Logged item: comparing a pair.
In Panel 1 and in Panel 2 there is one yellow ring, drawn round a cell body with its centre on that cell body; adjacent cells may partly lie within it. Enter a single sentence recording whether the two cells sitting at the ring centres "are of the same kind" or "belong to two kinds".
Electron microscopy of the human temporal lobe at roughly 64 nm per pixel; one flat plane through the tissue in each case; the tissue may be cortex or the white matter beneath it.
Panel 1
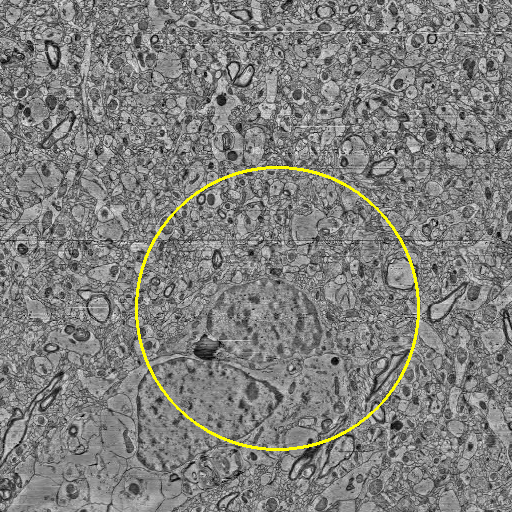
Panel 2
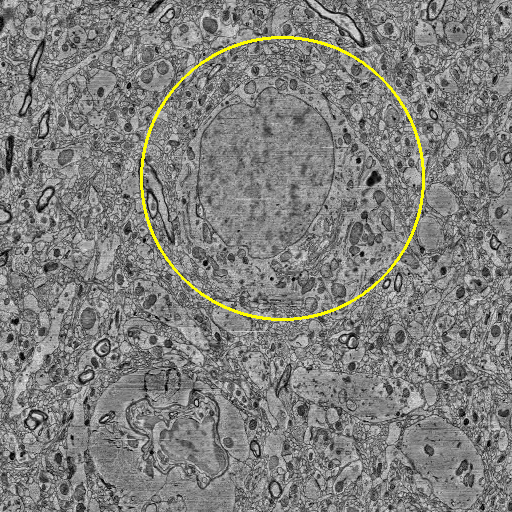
Logged: the cells centred in the rings of Panel 1 and Panel 2 belong to two kinds.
